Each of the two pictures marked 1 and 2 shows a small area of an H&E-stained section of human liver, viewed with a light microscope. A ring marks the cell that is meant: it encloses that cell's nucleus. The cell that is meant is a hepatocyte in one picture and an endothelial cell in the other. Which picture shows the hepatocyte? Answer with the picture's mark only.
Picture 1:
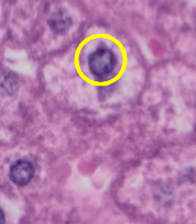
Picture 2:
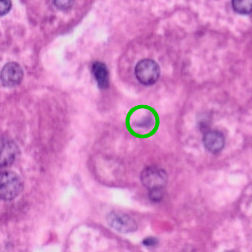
1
